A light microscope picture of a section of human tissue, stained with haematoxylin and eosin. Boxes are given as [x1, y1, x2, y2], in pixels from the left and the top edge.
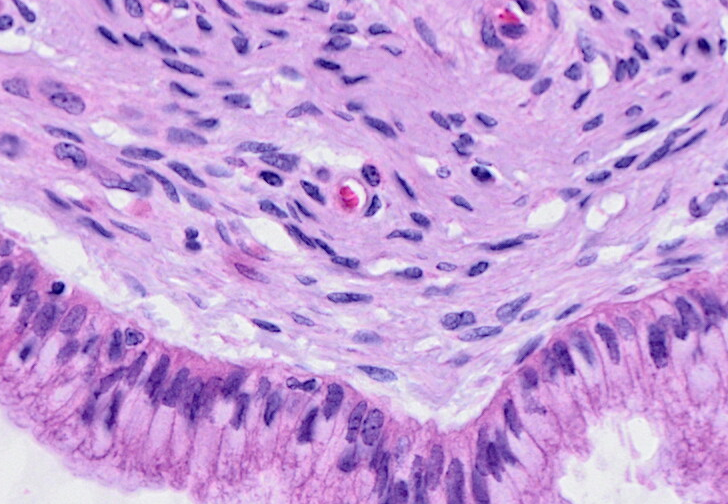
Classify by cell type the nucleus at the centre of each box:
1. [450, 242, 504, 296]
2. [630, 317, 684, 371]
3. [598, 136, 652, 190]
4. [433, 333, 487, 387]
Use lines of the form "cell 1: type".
cell 1: fibroblast
cell 2: secretory epithelial cell
cell 3: fibroblast
cell 4: fibroblast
